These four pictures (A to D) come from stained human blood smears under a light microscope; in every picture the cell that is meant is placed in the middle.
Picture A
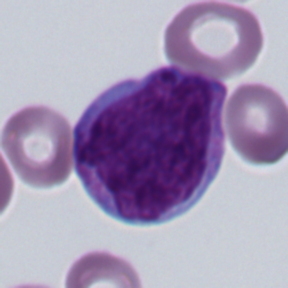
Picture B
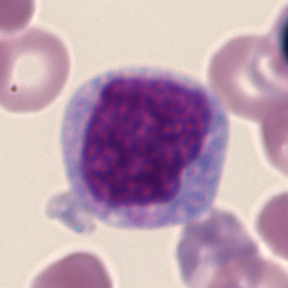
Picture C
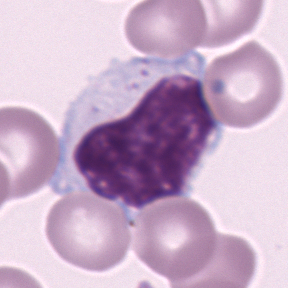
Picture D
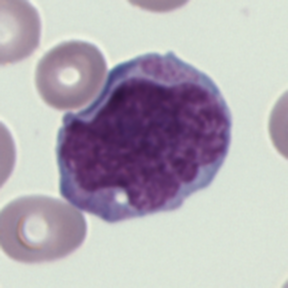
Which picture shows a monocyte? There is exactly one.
B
